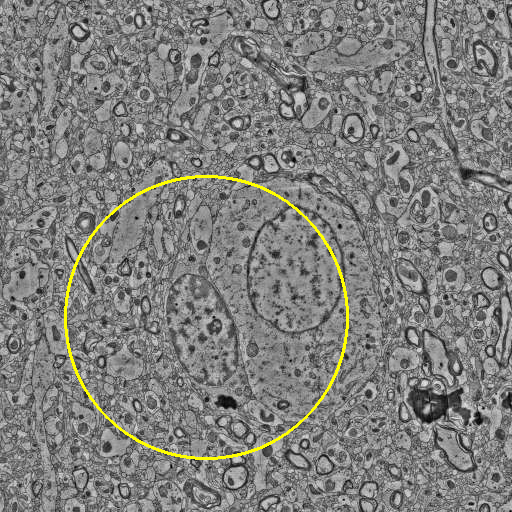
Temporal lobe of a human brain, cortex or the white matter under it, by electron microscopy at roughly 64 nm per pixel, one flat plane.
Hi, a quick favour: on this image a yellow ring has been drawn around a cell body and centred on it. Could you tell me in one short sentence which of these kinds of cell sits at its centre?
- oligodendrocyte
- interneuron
The ring is centred on an oligodendrocyte.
